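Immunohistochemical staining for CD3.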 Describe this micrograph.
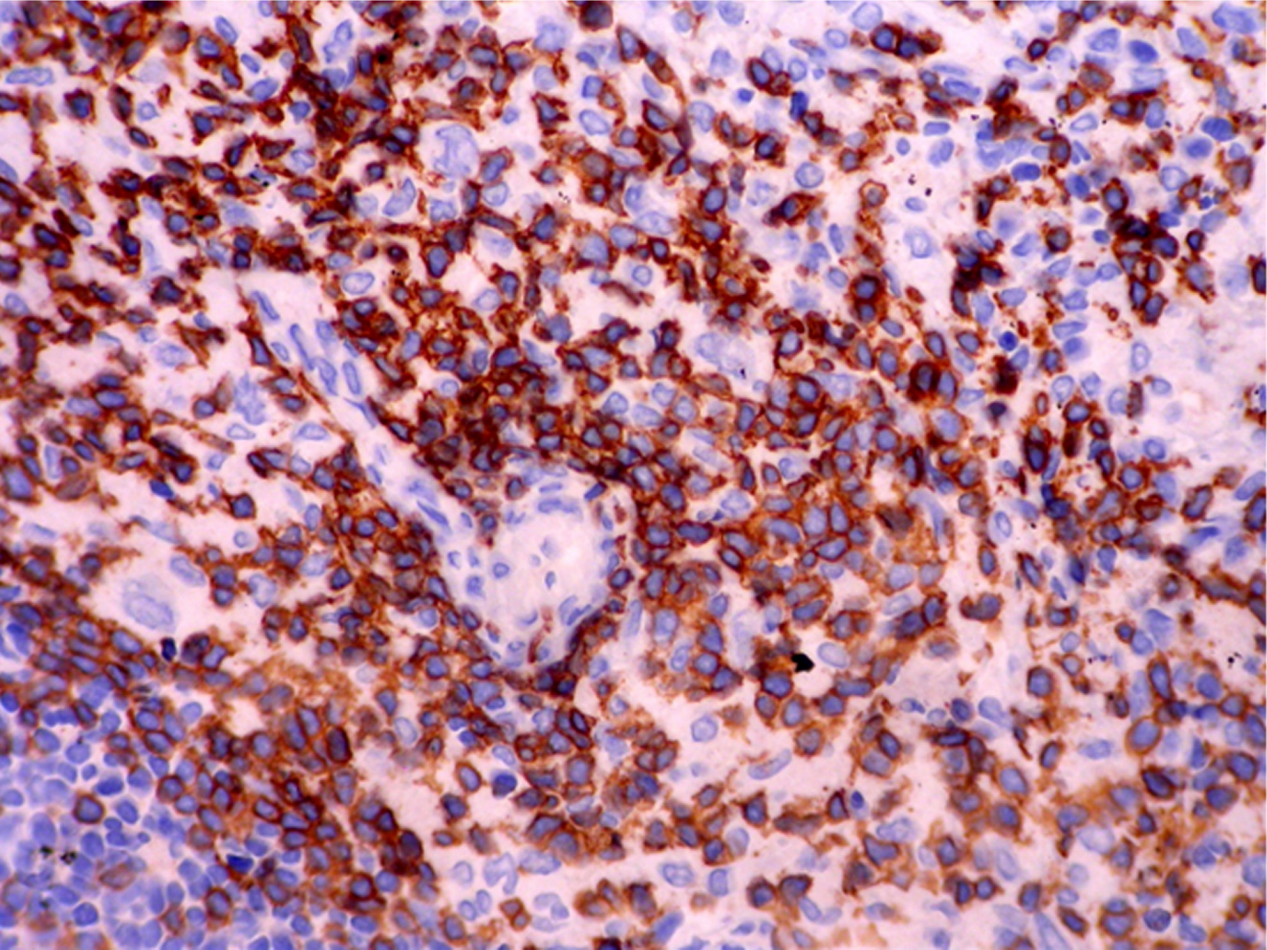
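Lymphoid tissue with a dense population of small lymphocytes whose membranes and scant cytoplasm are stained brown around small, dark blue nuclei. Scattered among them are larger cells with pale blue, oval to irregular nuclei and no brown stain. The brown-stained small cells crowd around and between the larger unstained cells. A small vessel with elongated, unstained endothelial nuclei runs through the centre of the field.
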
